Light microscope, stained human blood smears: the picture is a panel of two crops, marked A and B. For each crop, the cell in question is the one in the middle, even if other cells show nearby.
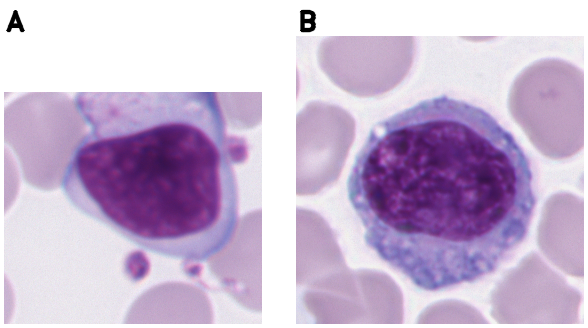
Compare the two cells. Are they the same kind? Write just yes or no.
no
